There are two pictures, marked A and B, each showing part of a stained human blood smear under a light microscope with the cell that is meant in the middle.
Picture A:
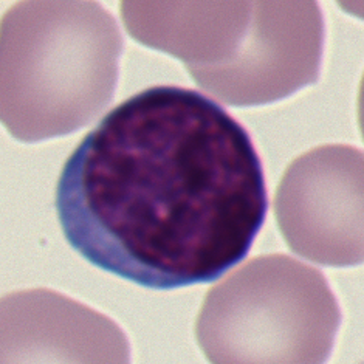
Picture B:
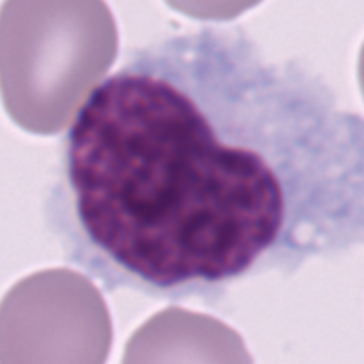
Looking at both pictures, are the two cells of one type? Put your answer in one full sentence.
No. Picture A shows a typical lymphocyte, but picture B shows a hairy cell.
